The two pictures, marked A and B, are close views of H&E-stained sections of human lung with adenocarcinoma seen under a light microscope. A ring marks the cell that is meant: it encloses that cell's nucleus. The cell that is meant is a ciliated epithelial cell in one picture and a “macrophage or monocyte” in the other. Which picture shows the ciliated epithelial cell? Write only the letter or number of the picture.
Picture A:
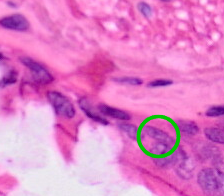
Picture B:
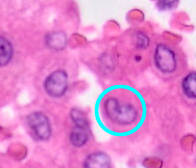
A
